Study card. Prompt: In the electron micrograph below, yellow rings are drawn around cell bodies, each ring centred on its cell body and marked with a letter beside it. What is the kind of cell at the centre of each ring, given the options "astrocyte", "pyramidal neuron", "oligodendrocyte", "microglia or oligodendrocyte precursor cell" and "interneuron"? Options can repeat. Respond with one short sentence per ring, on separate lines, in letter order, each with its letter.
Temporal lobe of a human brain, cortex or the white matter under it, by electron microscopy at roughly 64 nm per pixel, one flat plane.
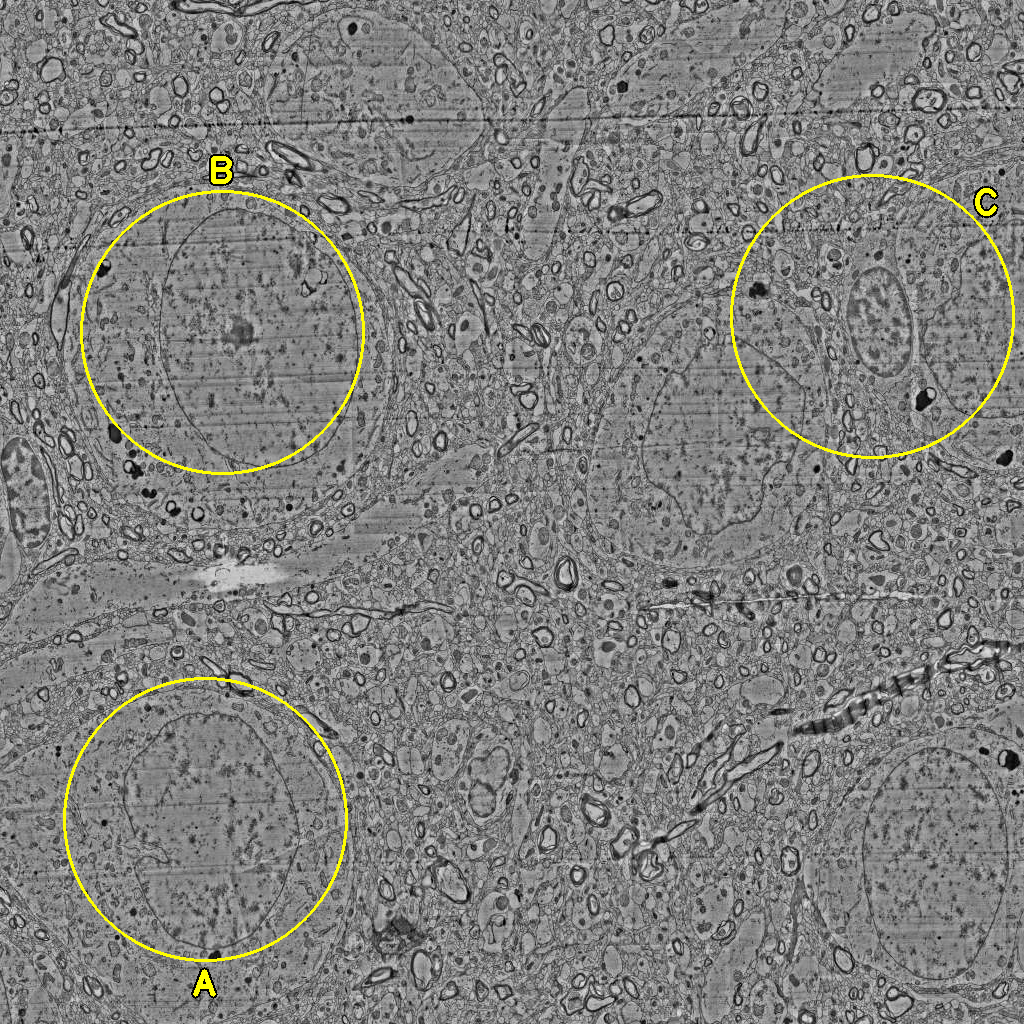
Ring A outlines a pyramidal neuron.
Ring B outlines a pyramidal neuron.
Ring C outlines an oligodendrocyte.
